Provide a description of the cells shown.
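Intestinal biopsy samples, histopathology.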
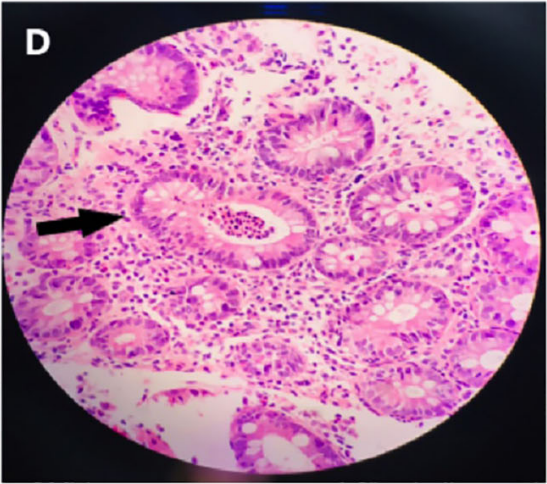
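Colonic mucosa with many crypts cut in cross-section, lined by columnar epithelium with numerous pale goblet cells. One crypt near the centre has its lumen filled by a cluster of small cells with dark nuclei, forming a crypt abscess, while the other crypt lumens are clear. The surrounding lamina propria contains scattered inflammatory cells.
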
